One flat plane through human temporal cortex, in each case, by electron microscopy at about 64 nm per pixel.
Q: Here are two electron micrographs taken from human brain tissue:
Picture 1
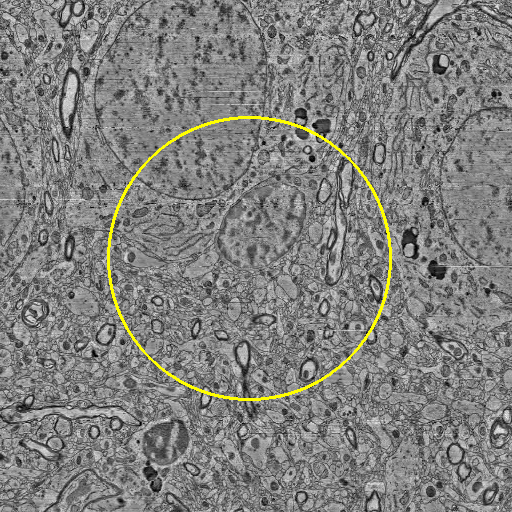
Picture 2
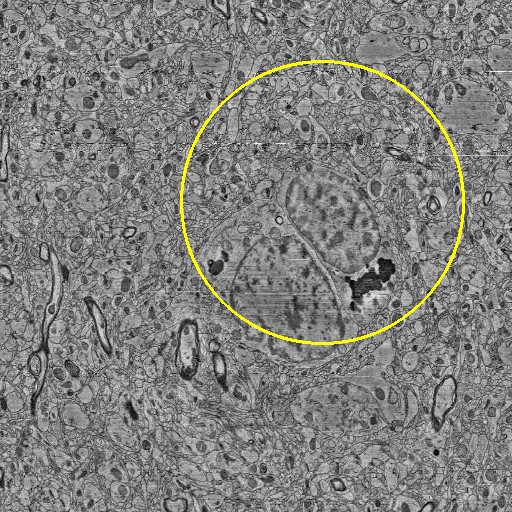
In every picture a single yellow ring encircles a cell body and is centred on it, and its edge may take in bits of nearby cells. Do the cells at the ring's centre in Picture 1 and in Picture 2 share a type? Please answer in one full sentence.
Yes, the cells at the ring's centre in Picture 1 and Picture 2 share a type.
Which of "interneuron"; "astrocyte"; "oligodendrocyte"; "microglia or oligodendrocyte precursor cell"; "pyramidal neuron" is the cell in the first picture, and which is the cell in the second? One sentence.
Each one of the two ringed cells is an oligodendrocyte.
